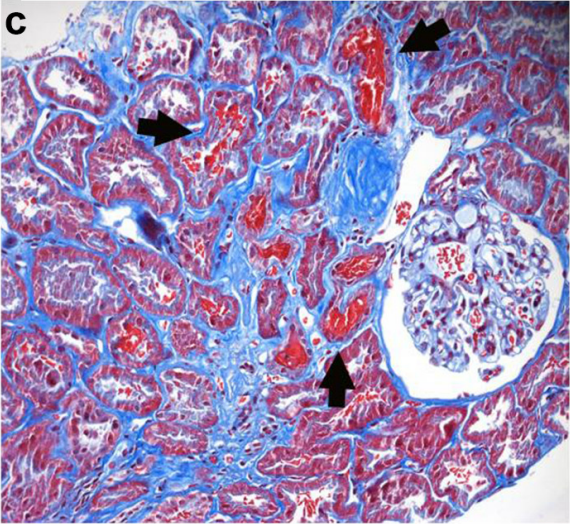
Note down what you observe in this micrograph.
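Renal cortex with tubules containing red cell casts. Many tubules, lined by red-purple stained epithelium, have lumens filled with bright red, dense material molded to the lumen. Between the tubules, blue-stained fibrous interstitium is widened, especially in the center, where a rounded blue-staining structure lies. On the right a glomerulus with open capillary loops sits within a clear space bounded by its capsule. Scattered red blood cells are also seen in small vessels and lumens.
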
